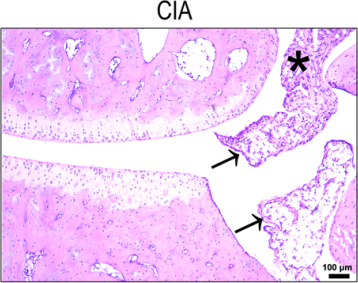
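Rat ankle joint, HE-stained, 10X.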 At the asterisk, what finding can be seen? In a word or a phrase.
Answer: Inflammatory cells infiltration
